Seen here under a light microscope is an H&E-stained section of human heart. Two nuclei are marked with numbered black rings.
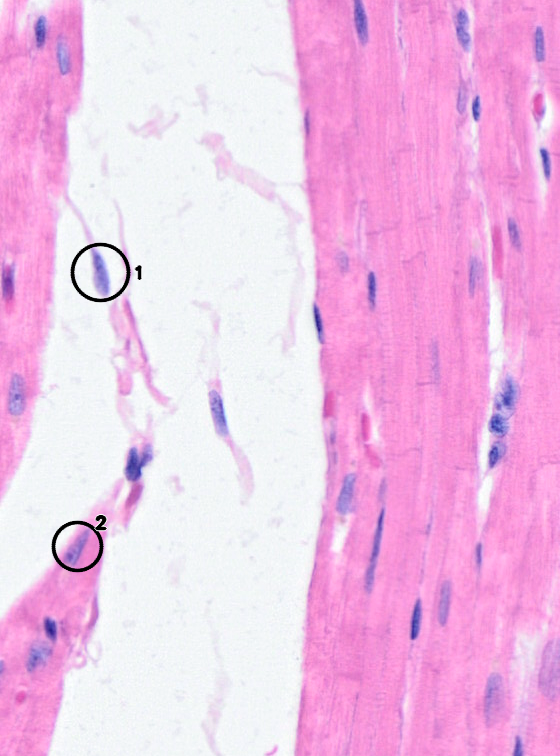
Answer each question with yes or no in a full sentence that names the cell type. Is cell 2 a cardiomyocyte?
Yes, exactly, the cell numbered 2 is a cardiomyocyte.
